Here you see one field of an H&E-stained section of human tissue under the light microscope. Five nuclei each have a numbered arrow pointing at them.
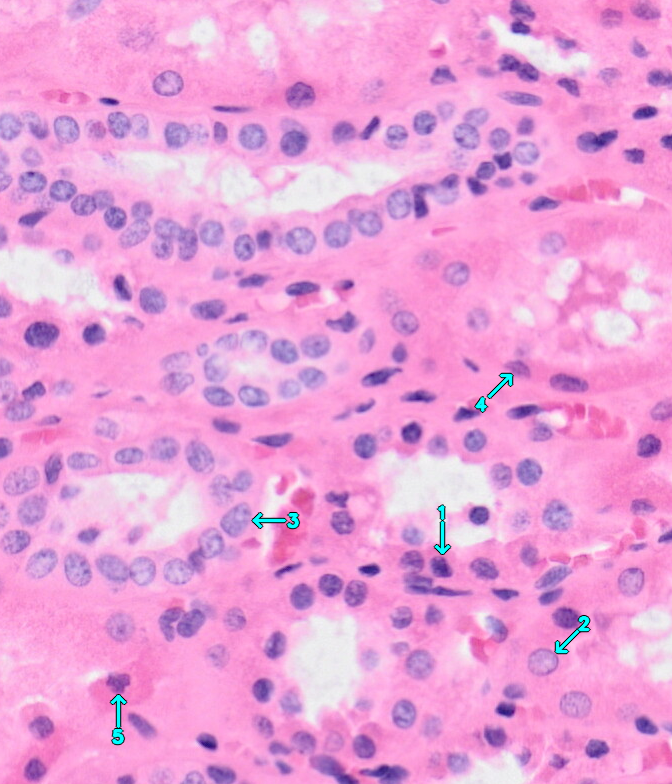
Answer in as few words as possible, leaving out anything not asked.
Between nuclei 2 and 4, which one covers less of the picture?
4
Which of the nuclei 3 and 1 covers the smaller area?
1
